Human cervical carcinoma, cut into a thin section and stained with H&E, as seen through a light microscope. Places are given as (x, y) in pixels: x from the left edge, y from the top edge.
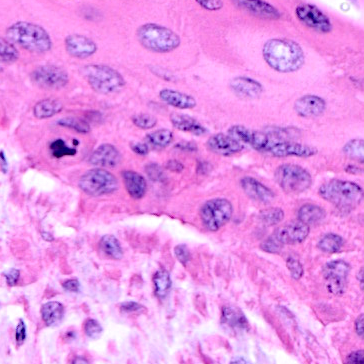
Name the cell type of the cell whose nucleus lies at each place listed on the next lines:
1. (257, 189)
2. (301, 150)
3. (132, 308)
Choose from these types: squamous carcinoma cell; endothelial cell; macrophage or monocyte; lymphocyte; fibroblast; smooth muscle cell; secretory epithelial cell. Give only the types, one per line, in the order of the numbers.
squamous carcinoma cell
squamous carcinoma cell
fibroblast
